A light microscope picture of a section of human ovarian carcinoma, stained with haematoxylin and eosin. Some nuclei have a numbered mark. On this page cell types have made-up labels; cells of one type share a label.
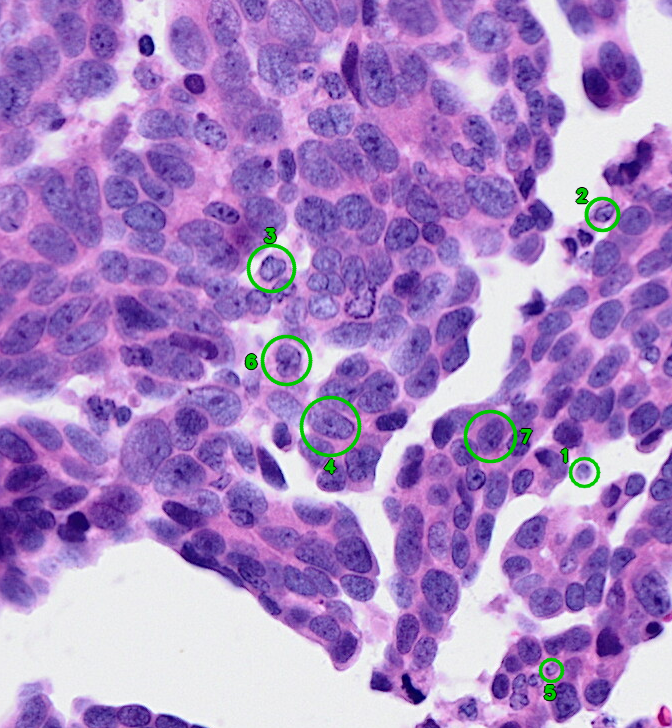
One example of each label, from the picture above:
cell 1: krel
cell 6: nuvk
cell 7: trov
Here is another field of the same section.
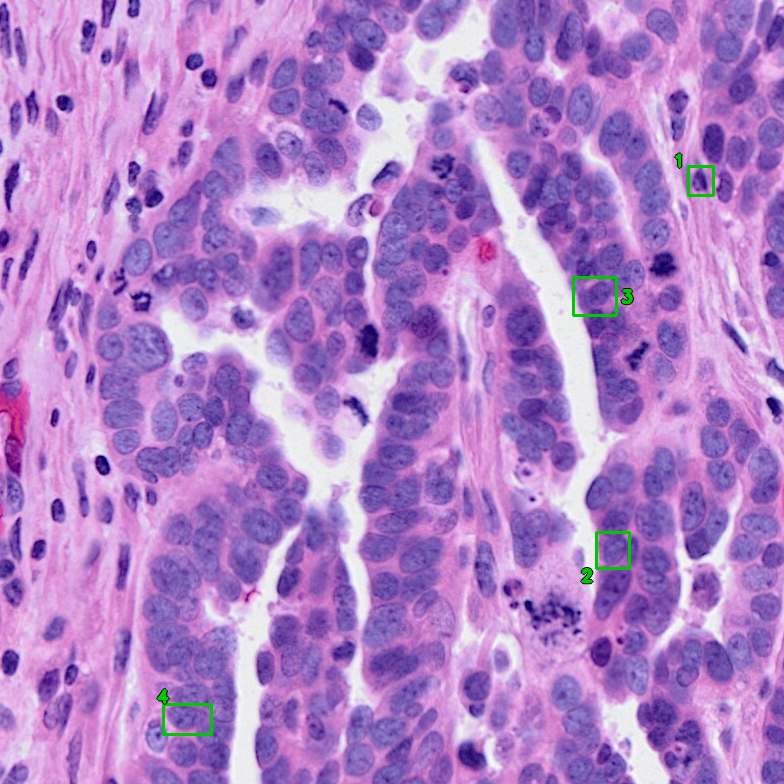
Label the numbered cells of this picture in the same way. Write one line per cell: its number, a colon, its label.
1: nuvk
2: trov
3: trov
4: trov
